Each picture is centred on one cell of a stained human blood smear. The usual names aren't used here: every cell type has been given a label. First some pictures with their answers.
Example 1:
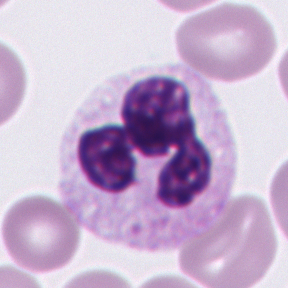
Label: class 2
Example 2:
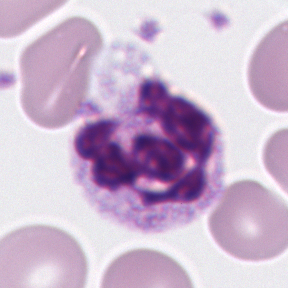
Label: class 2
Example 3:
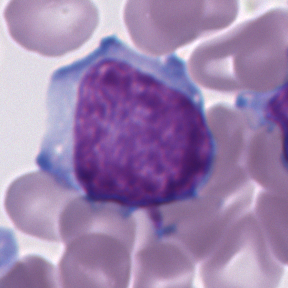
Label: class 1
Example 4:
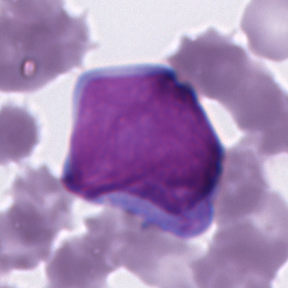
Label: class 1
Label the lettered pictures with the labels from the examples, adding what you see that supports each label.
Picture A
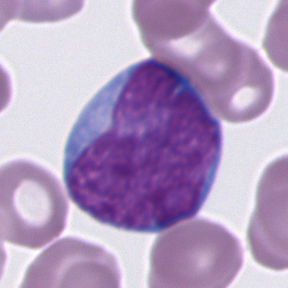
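class 1: The nucleus fills most of the cell, leaving a crescent of cytoplasm on the left side.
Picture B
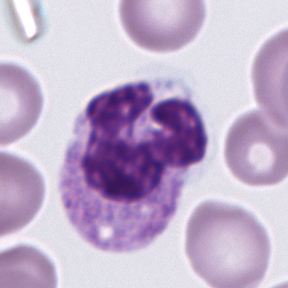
class 2: A deep cleft entering from the top splits the nucleus into lobes.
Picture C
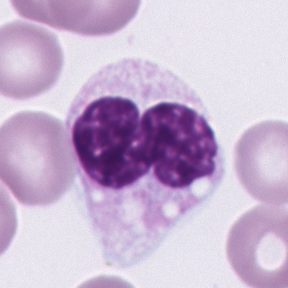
class 2: The cytoplasm is abundant and pale pinkish-lilac.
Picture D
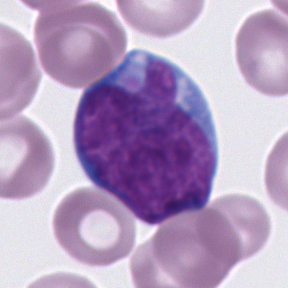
class 1: The cytoplasm forms a narrow crescent mainly along the top and upper right of the cell.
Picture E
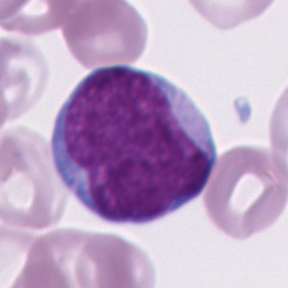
class 1: The cytoplasm is blue, deepest along the left edge.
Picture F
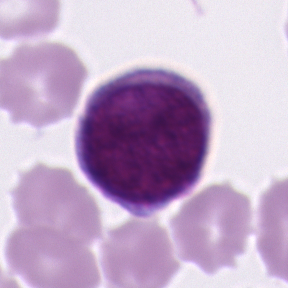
class 1: The cytoplasm forms only a very thin rim around the nucleus.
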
